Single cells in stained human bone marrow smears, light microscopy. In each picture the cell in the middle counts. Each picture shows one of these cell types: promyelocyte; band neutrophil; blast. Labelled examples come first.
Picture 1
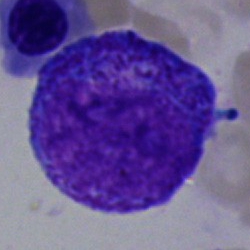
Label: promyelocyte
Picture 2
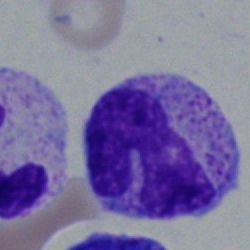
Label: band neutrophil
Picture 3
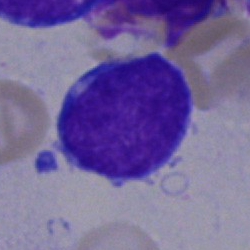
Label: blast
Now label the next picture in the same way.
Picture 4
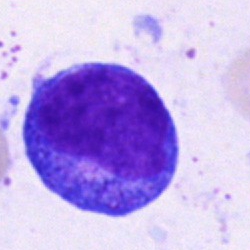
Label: promyelocyte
